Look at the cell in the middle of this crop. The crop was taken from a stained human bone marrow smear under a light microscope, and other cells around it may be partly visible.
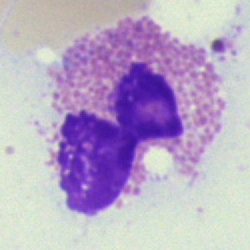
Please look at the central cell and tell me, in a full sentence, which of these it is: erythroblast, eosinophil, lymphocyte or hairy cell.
The target cell in the middle of the crop is an eosinophil.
